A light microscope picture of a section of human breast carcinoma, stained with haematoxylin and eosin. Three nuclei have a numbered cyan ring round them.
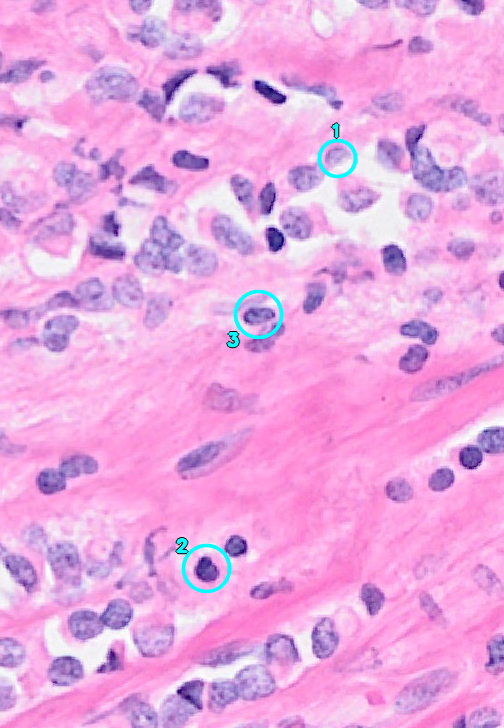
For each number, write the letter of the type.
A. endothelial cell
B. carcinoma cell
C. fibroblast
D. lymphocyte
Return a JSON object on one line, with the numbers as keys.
{"1": "B", "2": "D", "3": "D"}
